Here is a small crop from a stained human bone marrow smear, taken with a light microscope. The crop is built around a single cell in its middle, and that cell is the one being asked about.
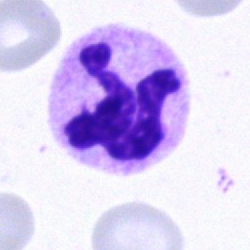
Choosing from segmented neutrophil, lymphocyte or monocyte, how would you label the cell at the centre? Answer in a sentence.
Framed in the middle of the crop is a segmented neutrophil.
